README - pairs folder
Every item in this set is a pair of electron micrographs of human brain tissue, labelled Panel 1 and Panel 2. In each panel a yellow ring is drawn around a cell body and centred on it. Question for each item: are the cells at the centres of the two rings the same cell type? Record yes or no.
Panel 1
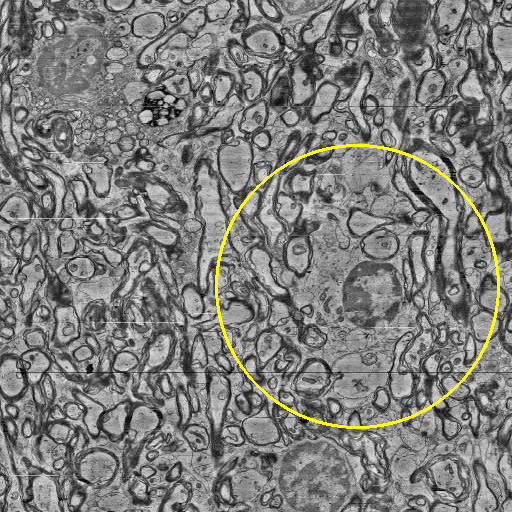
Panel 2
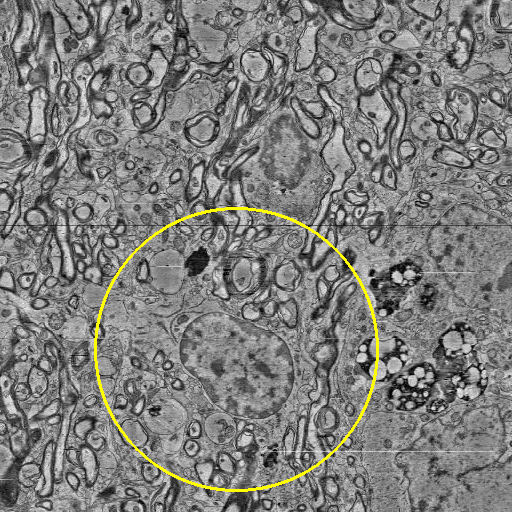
yes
